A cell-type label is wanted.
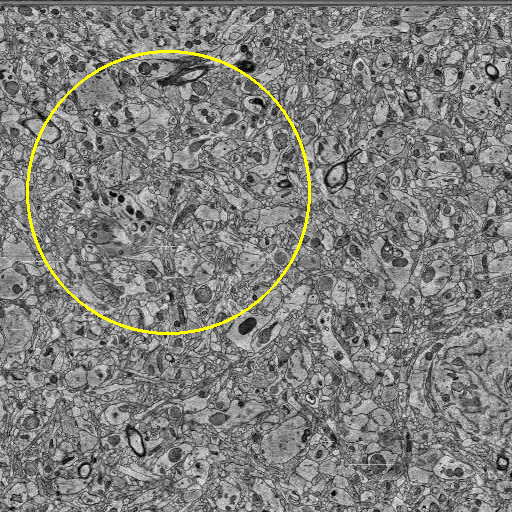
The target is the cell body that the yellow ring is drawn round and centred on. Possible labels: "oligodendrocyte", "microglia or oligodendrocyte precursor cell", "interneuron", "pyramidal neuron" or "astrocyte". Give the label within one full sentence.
Of the labels offered, the cell in the middle of the yellow ring is a microglial cell or oligodendrocyte precursor cell.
